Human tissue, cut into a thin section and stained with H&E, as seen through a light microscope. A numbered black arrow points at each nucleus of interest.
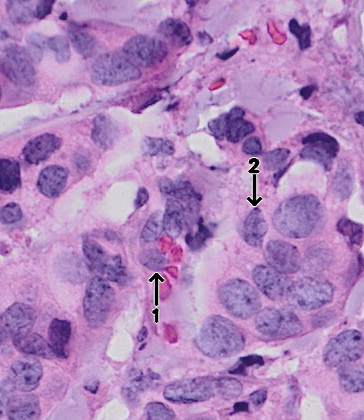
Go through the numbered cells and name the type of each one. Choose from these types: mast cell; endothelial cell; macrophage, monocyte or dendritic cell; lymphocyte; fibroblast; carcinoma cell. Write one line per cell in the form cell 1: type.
cell 1: endothelial cell
cell 2: carcinoma cell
